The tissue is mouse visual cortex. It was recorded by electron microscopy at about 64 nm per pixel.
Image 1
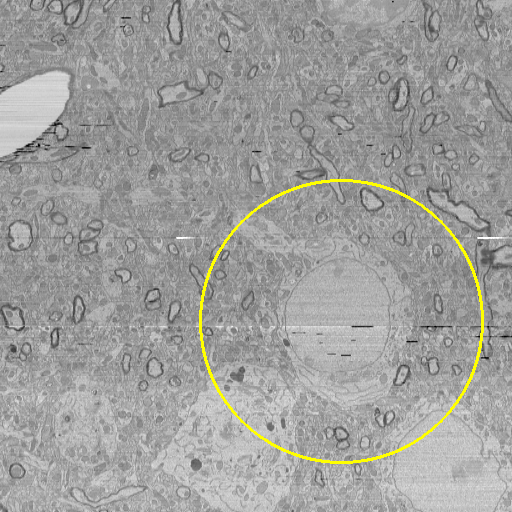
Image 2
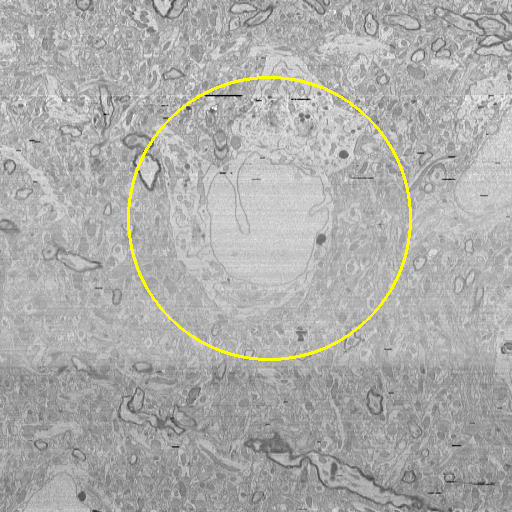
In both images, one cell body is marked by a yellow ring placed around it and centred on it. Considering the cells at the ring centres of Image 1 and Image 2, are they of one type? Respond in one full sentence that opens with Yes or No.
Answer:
Yes, a single type applies to the ring-centred cells of both Image 1 and Image 2.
